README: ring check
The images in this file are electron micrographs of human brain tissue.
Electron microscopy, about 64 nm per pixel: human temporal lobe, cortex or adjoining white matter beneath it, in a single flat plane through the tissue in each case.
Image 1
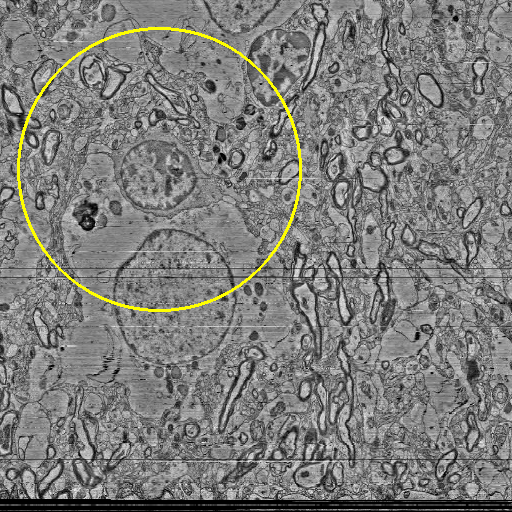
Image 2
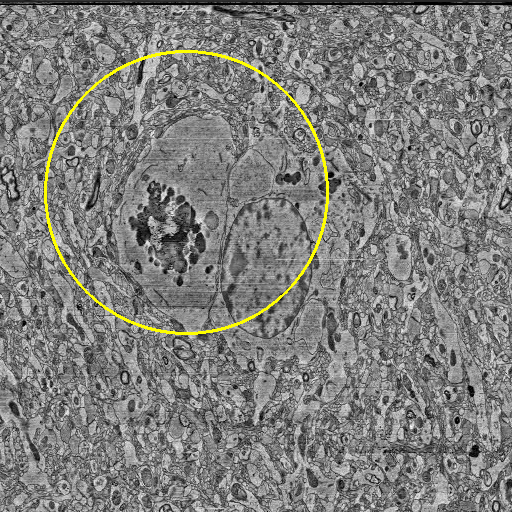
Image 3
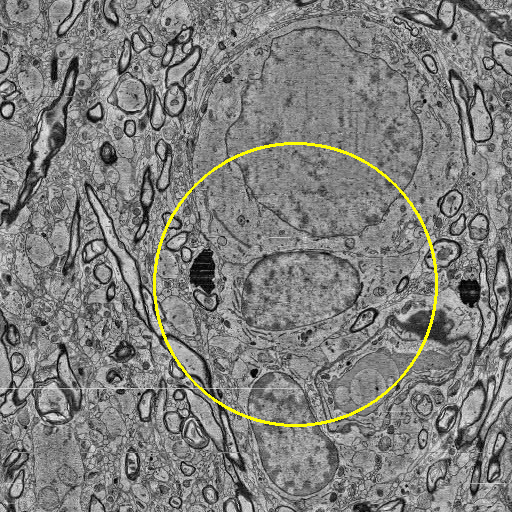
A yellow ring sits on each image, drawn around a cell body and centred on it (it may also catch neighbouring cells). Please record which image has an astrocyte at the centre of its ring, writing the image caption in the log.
Image 2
